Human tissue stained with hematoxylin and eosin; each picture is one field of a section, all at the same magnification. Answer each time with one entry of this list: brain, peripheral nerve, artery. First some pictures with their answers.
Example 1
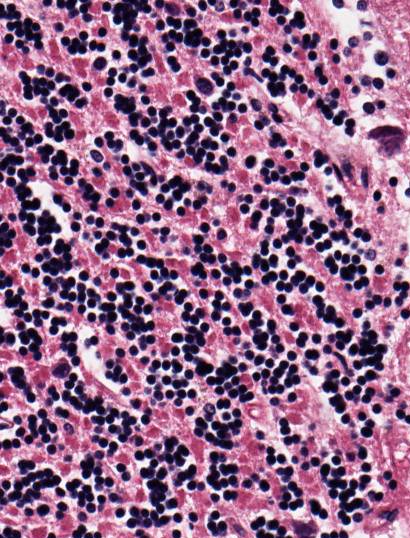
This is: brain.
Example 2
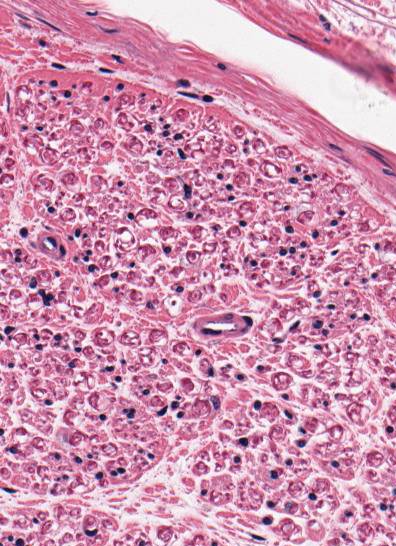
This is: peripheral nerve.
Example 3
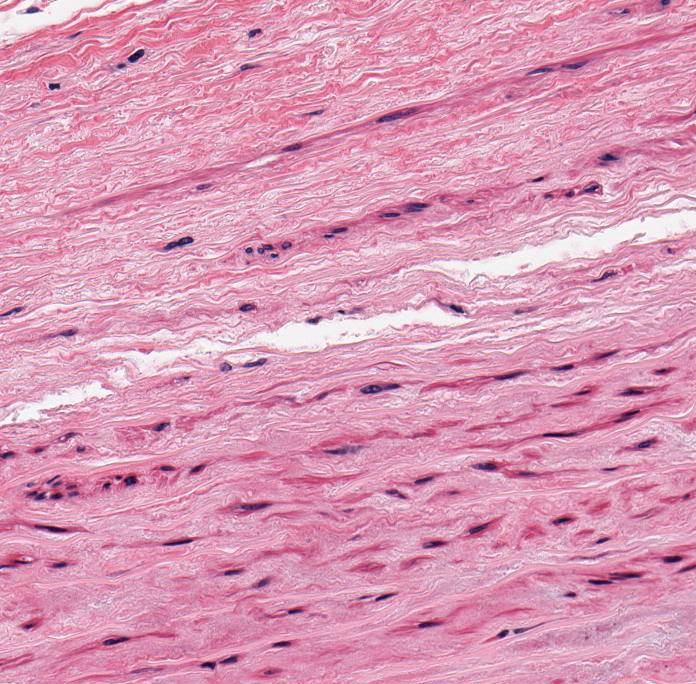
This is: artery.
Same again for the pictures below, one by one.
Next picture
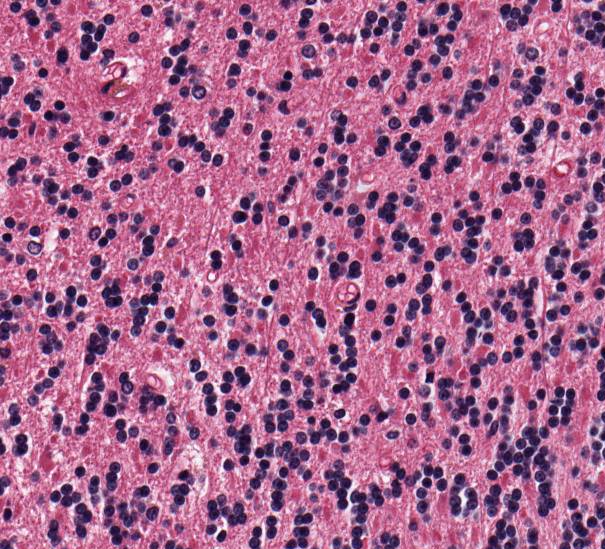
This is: brain.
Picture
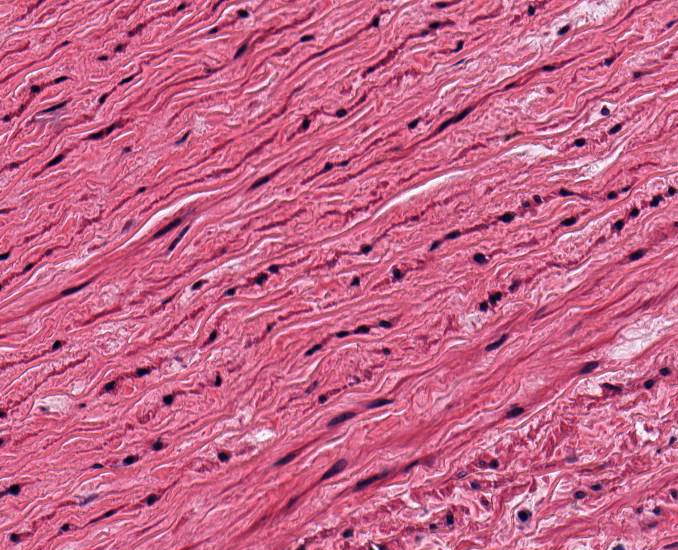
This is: artery.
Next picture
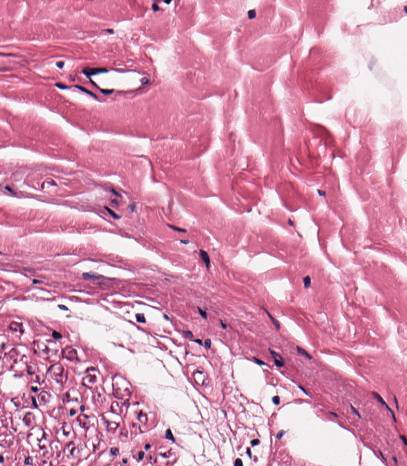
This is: peripheral nerve.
